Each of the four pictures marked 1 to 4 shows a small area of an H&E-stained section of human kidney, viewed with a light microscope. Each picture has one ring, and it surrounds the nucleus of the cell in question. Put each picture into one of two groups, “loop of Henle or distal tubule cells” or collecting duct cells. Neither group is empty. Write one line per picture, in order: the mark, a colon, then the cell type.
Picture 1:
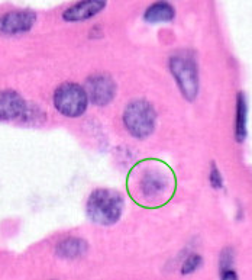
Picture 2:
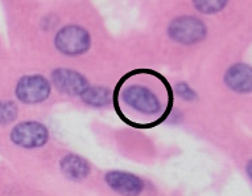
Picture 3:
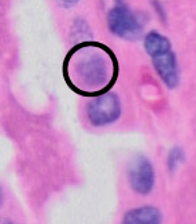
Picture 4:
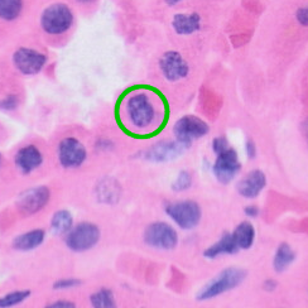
1: loop of Henle or distal tubule cell
2: collecting duct cell
3: collecting duct cell
4: loop of Henle or distal tubule cell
